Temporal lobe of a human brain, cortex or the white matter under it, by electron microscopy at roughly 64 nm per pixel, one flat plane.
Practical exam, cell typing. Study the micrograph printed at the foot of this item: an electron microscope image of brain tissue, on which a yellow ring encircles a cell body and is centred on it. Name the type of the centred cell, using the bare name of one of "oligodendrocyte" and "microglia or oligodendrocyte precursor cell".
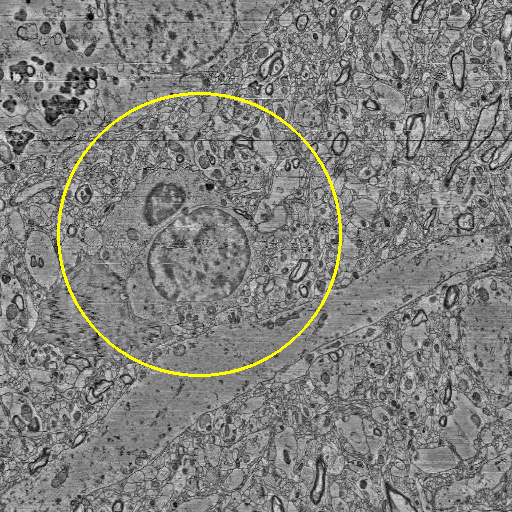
oligodendrocyte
